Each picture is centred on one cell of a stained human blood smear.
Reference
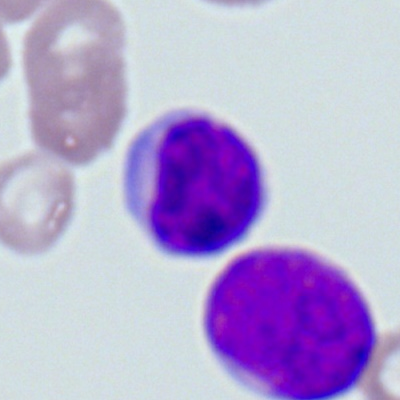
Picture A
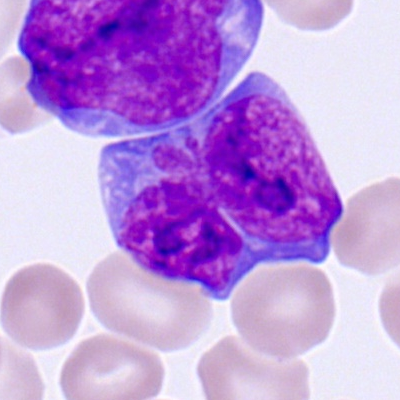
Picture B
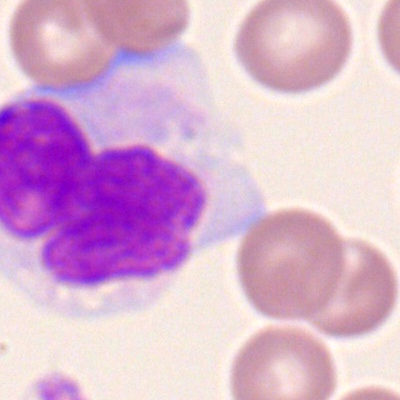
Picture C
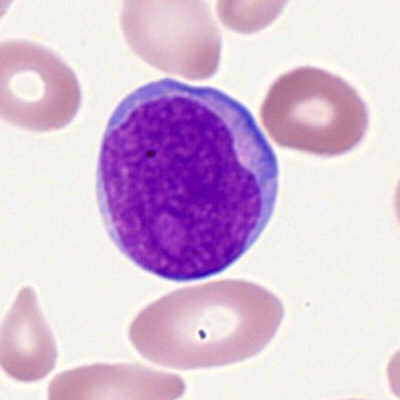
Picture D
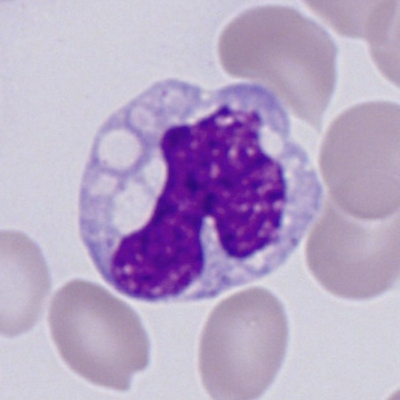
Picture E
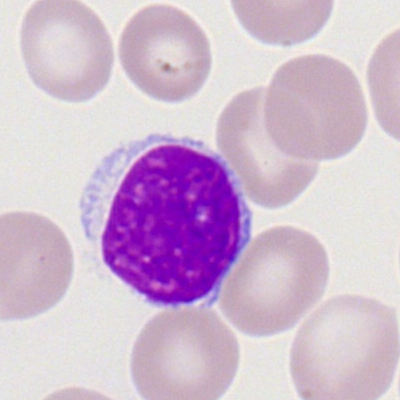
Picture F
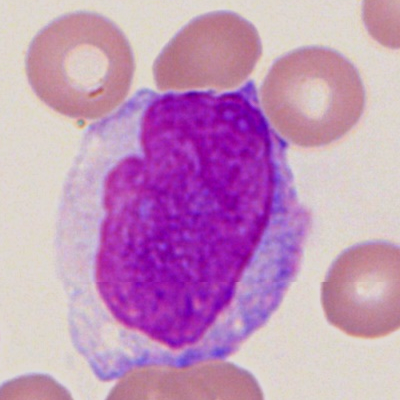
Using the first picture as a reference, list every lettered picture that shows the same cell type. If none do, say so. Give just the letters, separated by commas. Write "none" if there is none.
E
